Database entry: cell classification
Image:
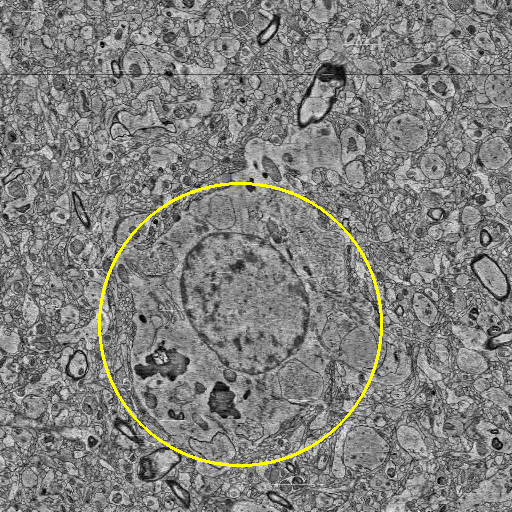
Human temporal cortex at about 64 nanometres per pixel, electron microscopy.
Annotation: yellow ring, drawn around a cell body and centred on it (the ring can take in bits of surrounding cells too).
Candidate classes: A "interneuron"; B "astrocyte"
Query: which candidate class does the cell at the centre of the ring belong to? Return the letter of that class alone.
B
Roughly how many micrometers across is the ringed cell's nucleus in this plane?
About 10 by 7 micrometers, in this plane.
